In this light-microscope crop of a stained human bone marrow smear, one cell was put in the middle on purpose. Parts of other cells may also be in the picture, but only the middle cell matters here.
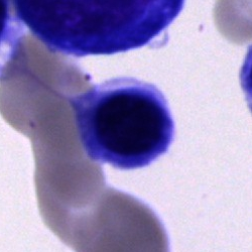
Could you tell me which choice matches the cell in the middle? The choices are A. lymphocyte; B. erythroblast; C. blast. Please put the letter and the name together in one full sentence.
At the centre of the crop lies an erythroblast, which makes option B correct.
